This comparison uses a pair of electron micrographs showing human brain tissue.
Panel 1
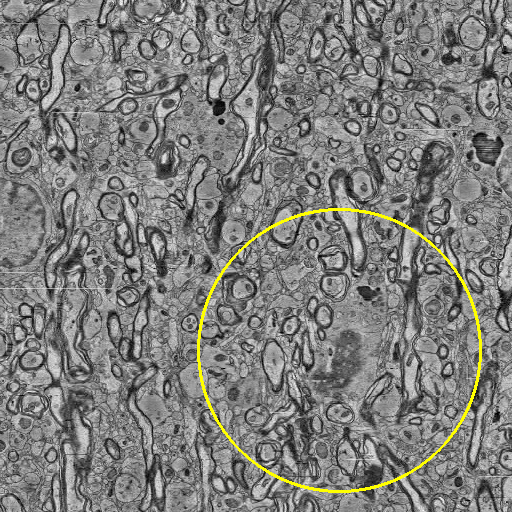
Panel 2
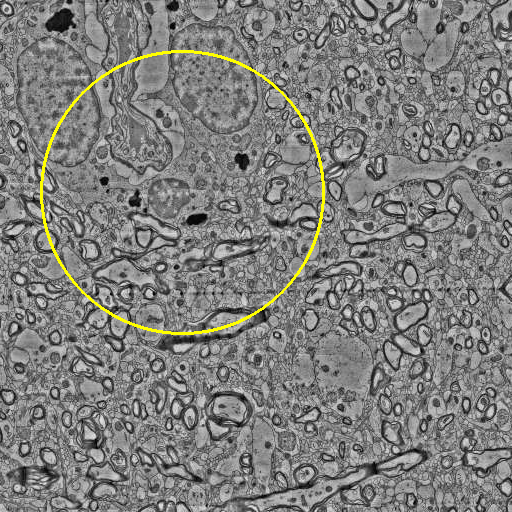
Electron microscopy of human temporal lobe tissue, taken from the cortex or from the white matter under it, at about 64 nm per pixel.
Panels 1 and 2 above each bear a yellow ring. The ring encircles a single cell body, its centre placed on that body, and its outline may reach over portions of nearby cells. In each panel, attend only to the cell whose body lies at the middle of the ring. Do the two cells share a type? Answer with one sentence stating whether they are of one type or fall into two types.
In Panel 1 and Panel 2, the cells at the centres of the rings are of one type.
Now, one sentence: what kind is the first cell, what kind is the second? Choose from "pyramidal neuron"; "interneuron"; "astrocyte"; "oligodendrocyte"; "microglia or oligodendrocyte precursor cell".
In the first picture and in the second, the ring is centred on an oligodendrocyte.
